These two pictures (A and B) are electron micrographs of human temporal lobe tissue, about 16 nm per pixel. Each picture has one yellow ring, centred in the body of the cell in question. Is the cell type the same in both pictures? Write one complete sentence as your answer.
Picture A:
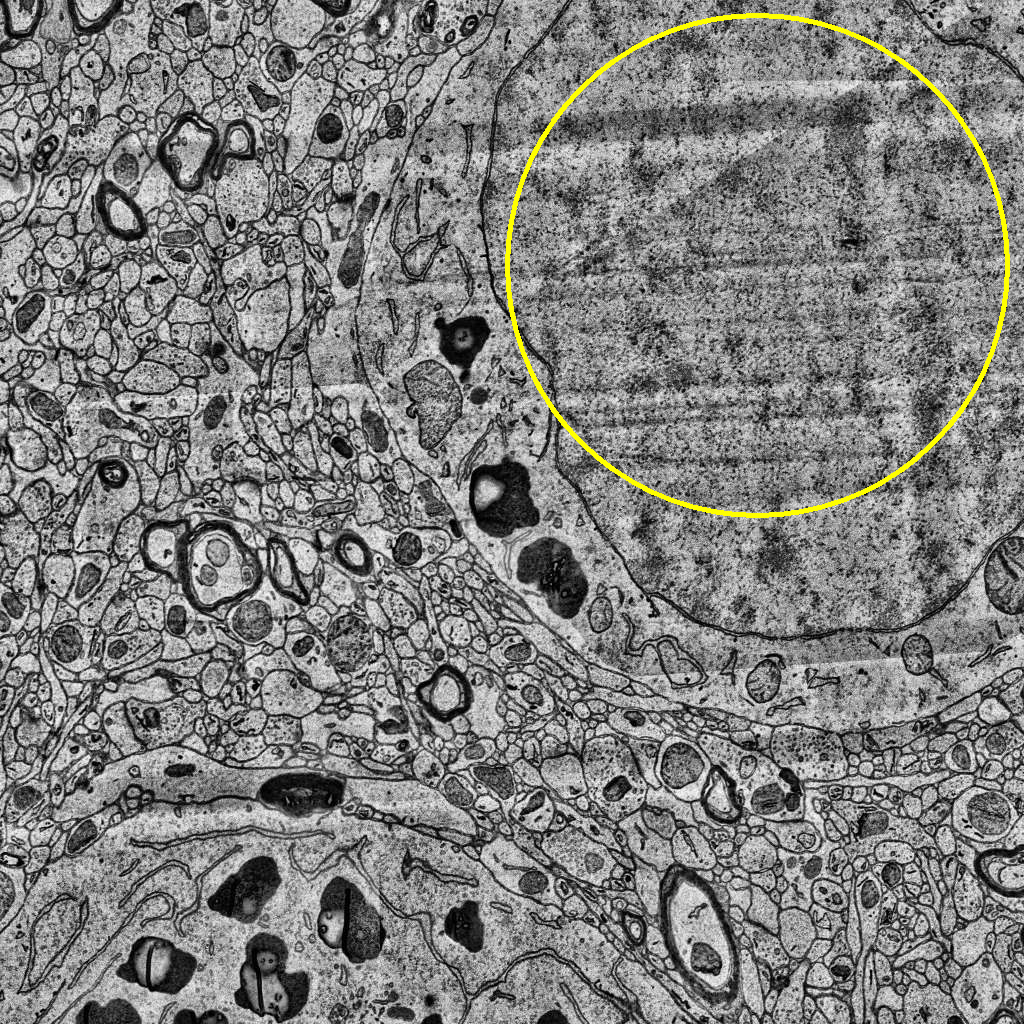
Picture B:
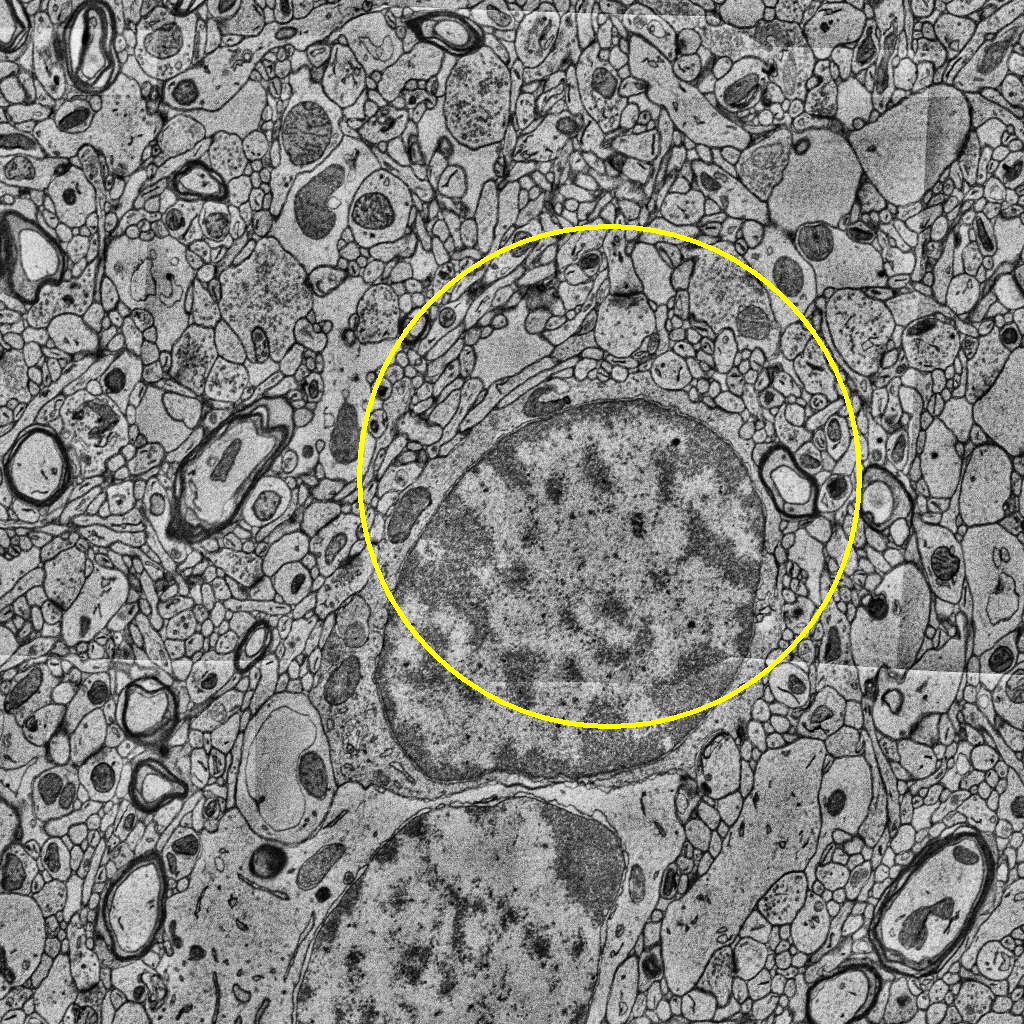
No; the cell in picture A is a pyramidal neuron, while the one in picture B is an oligodendrocyte.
